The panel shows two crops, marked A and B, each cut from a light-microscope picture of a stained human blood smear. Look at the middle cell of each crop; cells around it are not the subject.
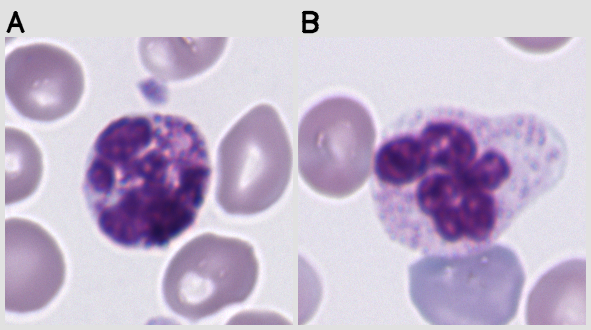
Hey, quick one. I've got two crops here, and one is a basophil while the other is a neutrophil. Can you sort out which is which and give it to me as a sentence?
The cell at the middle is a basophil in crop A, but a neutrophil in crop B.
